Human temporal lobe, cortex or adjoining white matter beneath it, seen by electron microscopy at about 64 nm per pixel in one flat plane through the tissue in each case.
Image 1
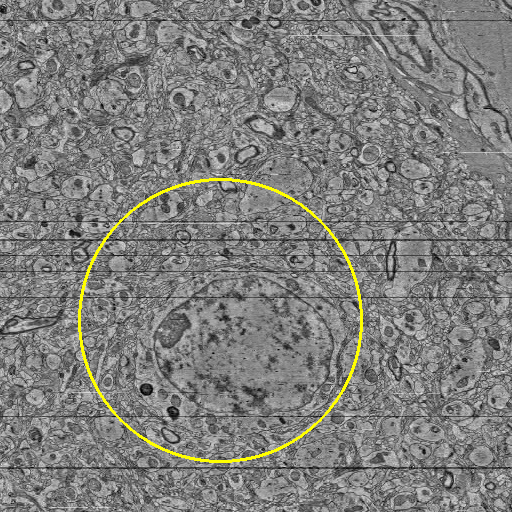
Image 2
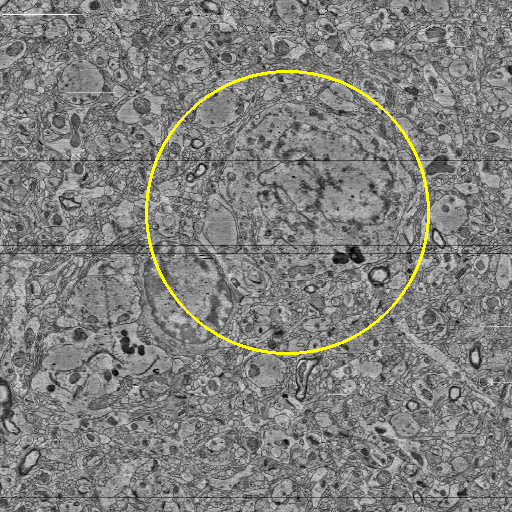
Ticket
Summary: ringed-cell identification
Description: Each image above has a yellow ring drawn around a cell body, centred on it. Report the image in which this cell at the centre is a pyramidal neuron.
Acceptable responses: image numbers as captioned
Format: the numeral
1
